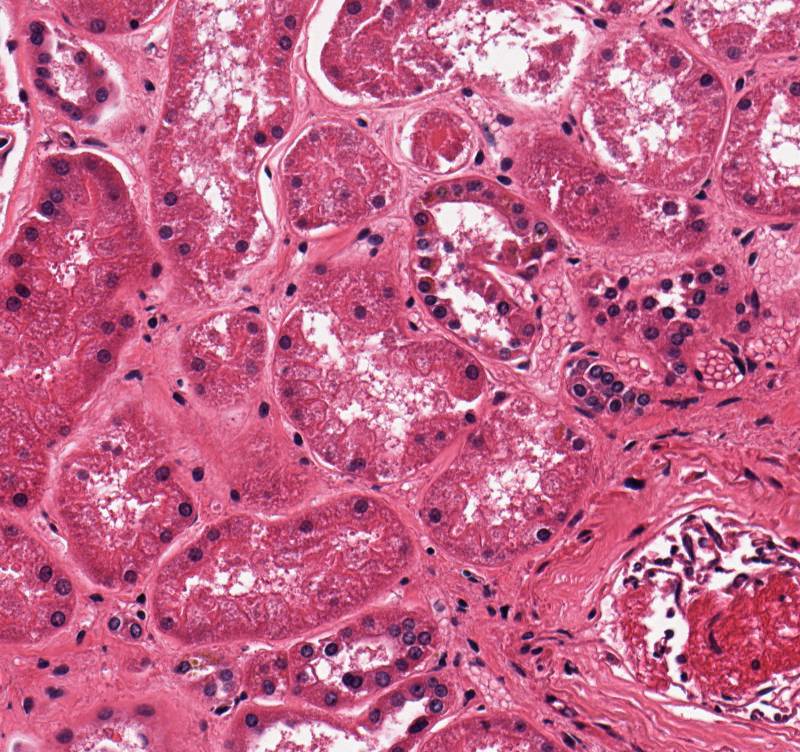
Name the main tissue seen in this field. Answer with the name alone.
cortical labyrinth of the kidney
